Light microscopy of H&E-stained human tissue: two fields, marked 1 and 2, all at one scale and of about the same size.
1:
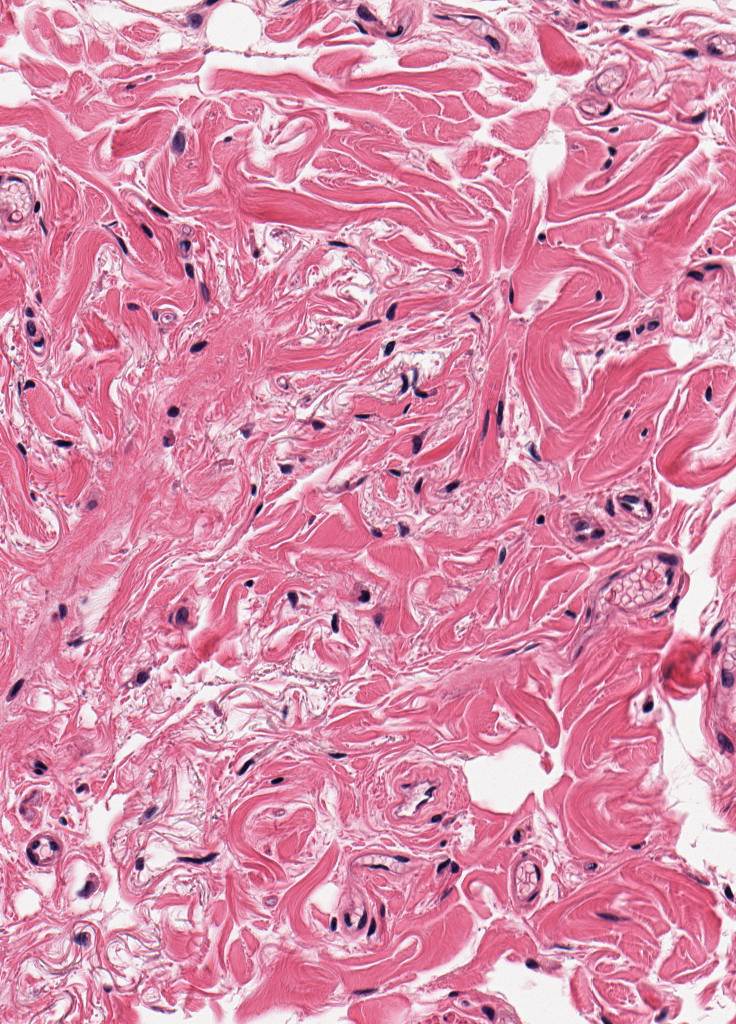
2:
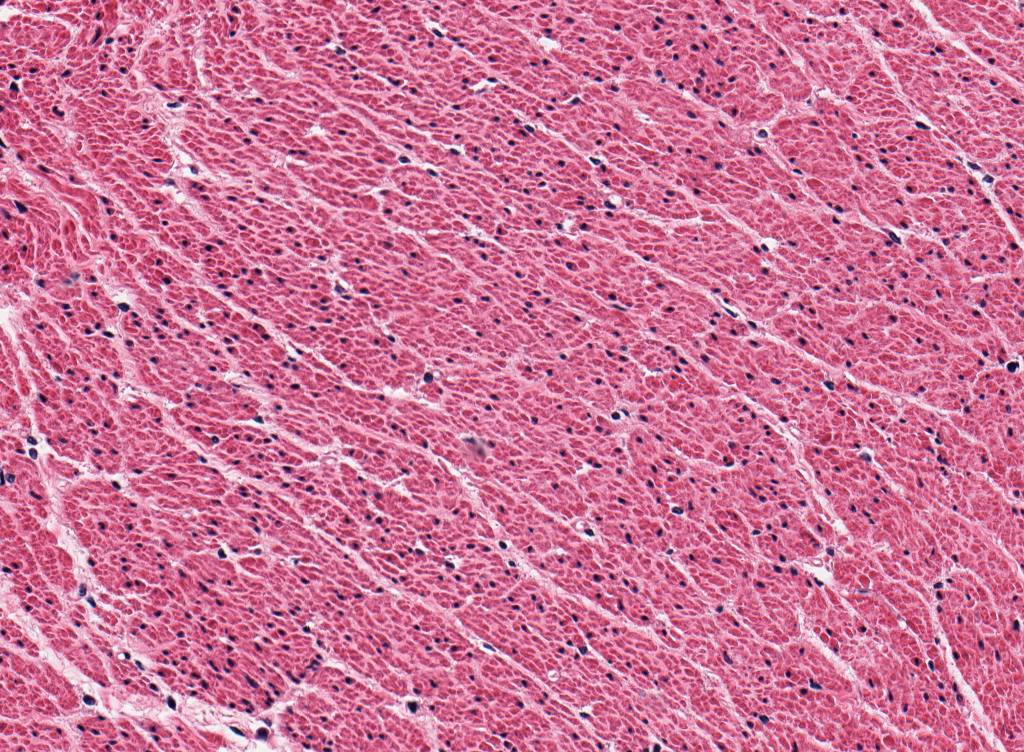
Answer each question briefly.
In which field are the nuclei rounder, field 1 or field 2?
2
